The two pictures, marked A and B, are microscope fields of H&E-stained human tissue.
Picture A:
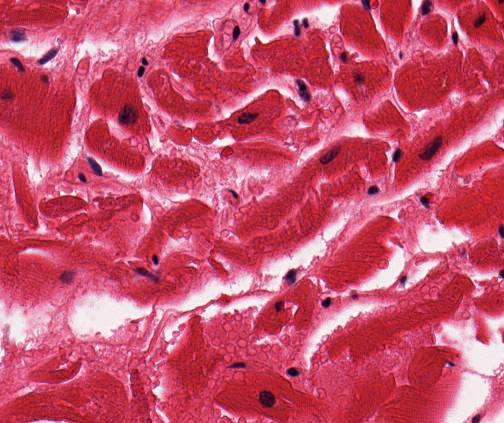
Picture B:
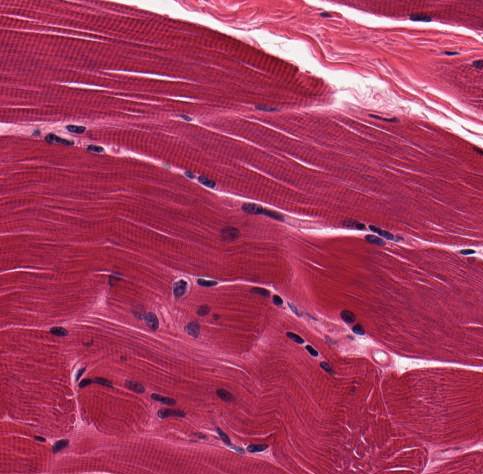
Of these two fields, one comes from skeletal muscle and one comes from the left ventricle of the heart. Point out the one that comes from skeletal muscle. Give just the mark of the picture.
B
